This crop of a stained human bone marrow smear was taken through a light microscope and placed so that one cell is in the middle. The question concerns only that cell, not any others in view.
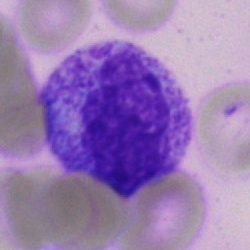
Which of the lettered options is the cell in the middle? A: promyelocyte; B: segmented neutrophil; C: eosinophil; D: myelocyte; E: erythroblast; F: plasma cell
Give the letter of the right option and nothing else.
D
